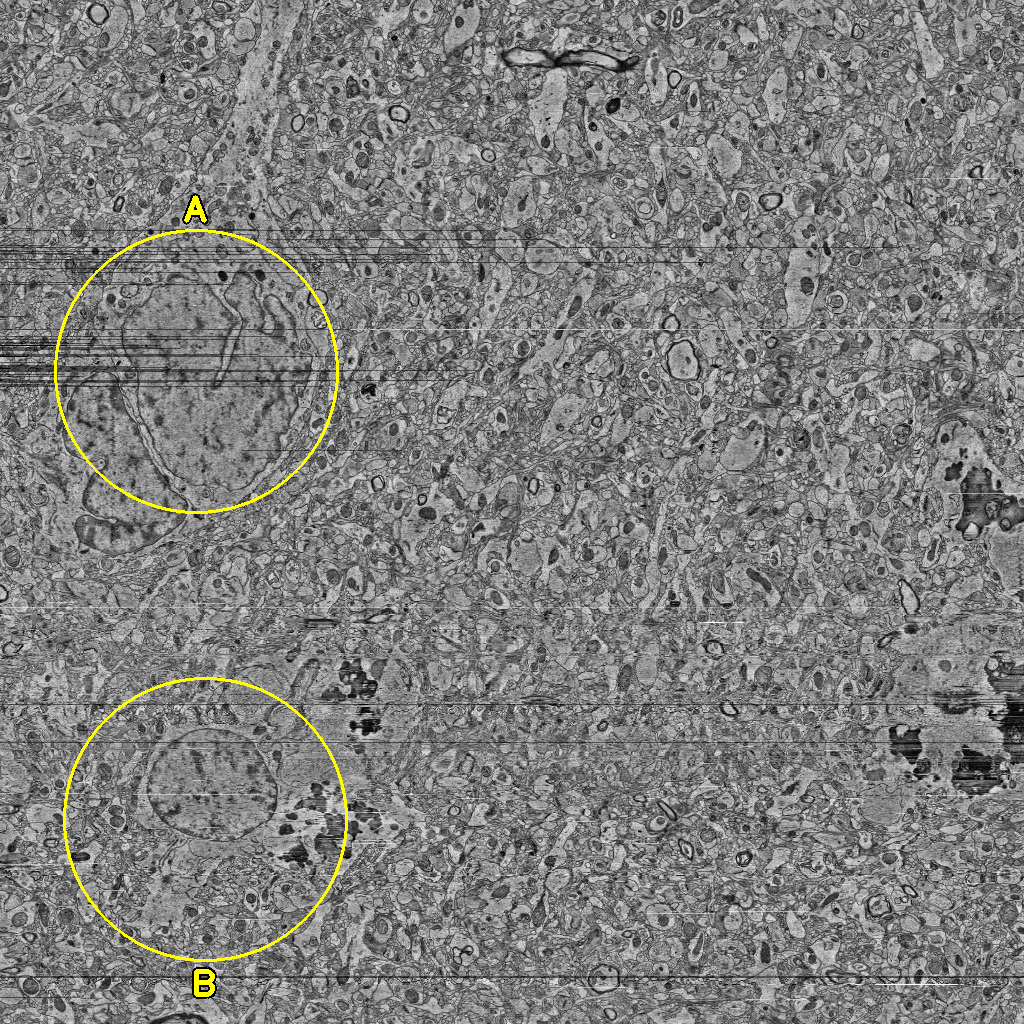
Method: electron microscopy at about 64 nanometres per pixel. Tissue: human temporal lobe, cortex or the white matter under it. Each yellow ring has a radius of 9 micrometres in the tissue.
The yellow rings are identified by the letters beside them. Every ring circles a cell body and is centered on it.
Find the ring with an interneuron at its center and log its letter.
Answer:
A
